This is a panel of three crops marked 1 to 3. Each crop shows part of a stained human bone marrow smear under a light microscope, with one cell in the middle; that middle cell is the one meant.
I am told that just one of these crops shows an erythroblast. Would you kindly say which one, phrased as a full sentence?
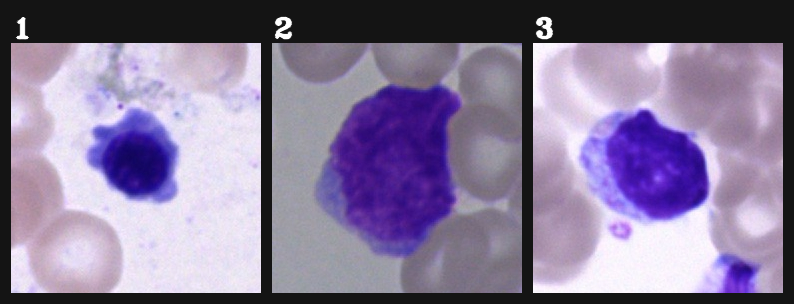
Among the crops provided, an erythroblast occupies the center of crop 1.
